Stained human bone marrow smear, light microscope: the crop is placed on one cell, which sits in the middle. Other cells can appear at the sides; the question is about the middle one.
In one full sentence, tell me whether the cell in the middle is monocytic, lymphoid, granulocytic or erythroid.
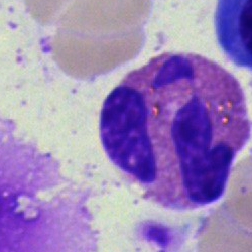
In this crop the cell in the center is part of the granulocytic lineage.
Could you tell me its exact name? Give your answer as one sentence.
What the crop centres on is an eosinophil.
